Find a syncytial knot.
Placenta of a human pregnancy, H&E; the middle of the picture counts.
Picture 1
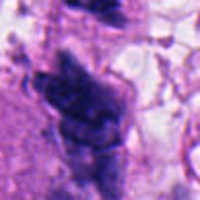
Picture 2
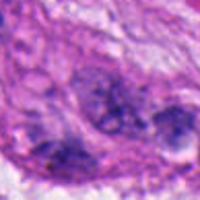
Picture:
1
